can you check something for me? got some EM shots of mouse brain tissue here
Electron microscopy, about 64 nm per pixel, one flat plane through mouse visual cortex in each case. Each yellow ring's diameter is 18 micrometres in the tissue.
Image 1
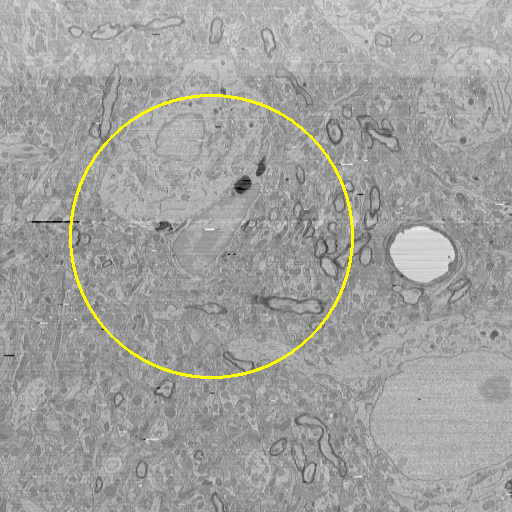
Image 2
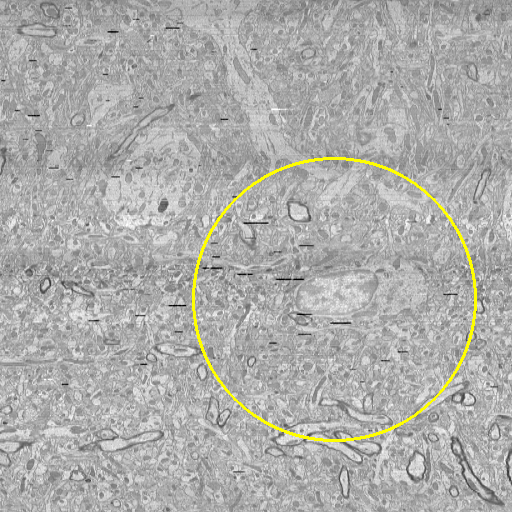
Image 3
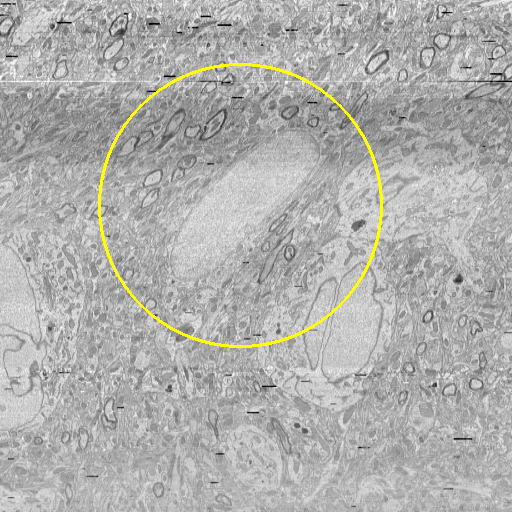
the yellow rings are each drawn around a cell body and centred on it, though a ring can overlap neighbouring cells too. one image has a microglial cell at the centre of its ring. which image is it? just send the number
1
